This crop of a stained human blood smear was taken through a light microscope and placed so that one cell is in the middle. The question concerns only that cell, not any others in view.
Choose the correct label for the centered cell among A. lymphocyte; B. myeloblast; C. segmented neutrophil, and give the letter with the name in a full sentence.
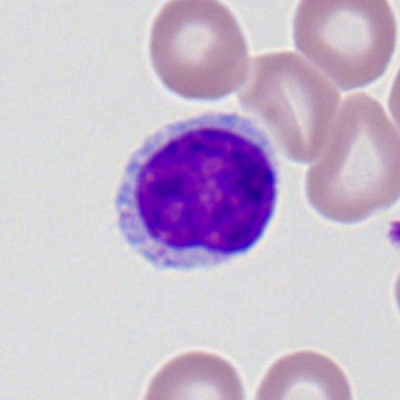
The cell positioned centrally is a lymphocyte, as given in option A, which is correct.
